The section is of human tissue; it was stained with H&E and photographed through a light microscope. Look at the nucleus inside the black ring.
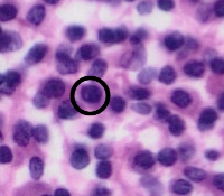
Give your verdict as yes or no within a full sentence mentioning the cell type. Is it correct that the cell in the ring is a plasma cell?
Yes, the cell in the ring is accurately described as a plasma cell.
